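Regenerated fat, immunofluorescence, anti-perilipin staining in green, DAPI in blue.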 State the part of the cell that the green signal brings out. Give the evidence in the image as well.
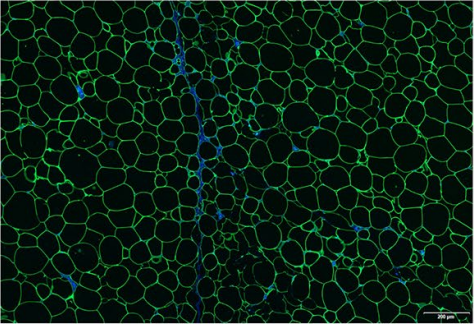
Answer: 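Adipocyte membrane. Thin green rings outline many closely packed round-to-polygonal empty profiles. The interiors of the rings are dark and unstained.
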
